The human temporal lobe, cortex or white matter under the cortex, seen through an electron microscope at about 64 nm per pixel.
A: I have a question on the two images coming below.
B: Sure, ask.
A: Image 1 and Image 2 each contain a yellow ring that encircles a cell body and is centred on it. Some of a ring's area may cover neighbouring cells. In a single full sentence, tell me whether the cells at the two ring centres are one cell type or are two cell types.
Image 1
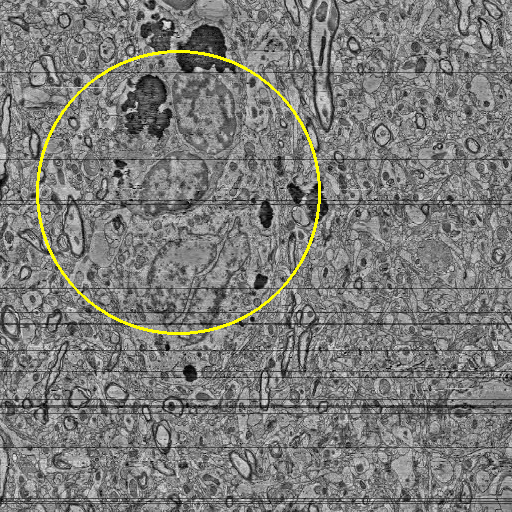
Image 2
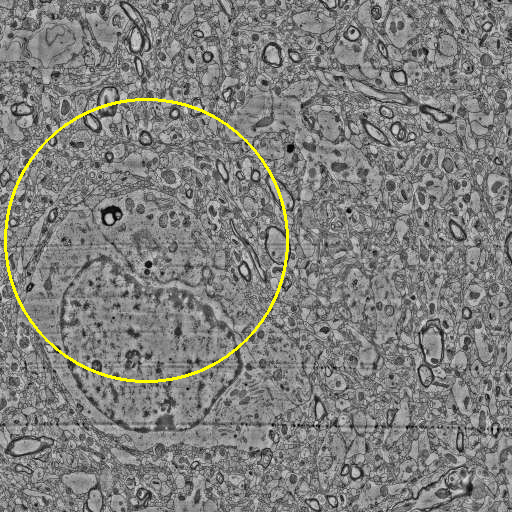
As for the ring-centre cells, the one in Image 1 and the one in Image 2 are two cell types.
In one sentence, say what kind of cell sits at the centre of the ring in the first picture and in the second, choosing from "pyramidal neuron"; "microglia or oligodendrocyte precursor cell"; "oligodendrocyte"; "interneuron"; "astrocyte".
The first picture's ringed cell is an oligodendrocyte, while the second picture's is a pyramidal neuron.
